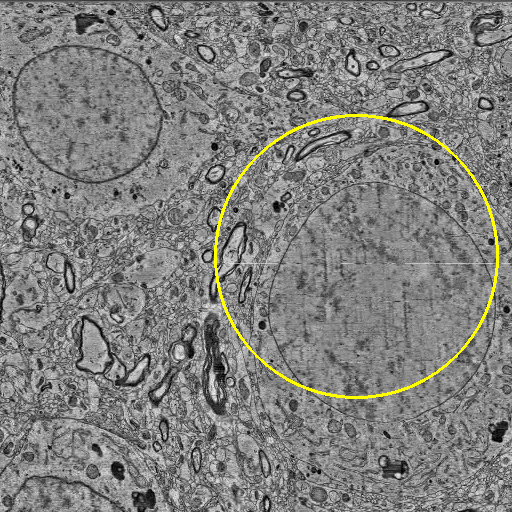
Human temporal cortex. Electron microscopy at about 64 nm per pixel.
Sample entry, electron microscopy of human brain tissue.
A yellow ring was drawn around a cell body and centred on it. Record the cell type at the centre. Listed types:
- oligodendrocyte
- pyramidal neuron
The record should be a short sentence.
The cell at the ring's centre is a pyramidal neuron.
